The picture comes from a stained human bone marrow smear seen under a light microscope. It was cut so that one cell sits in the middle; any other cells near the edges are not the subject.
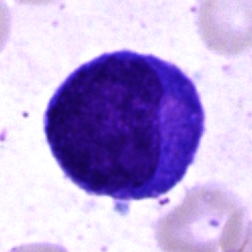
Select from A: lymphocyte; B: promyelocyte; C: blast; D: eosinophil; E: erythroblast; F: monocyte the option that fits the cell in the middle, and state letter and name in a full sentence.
That the central cell is a blast makes option C correct.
